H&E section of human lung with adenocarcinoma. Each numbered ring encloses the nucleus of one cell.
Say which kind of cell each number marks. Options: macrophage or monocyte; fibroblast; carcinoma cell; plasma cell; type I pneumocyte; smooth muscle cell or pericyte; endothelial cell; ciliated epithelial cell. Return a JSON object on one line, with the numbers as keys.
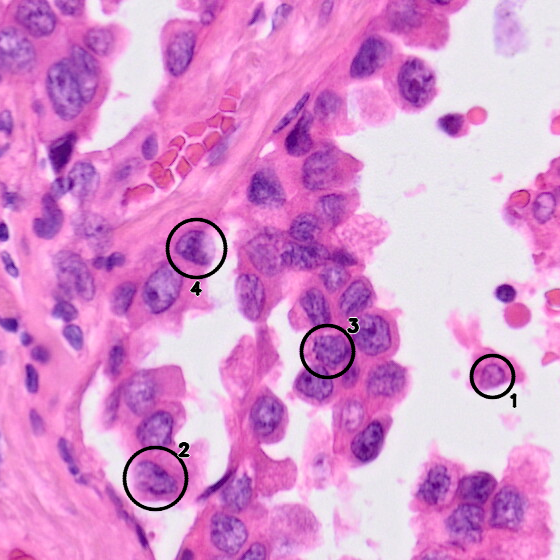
{"1": "macrophage or monocyte", "2": "carcinoma cell", "3": "carcinoma cell", "4": "carcinoma cell"}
